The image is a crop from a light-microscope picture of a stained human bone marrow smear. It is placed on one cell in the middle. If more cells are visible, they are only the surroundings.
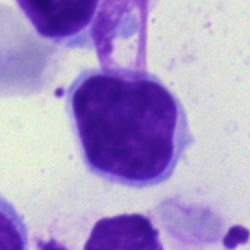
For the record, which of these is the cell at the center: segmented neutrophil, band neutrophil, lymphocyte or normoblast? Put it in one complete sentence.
The cell in the middle of the field of view is a lymphocyte.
